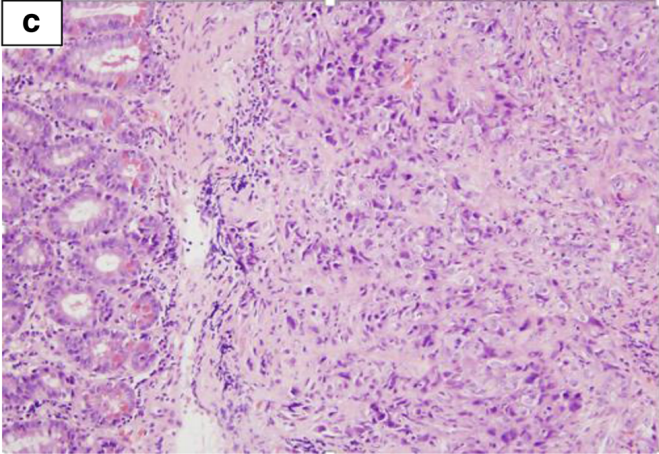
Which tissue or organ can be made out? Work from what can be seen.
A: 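Crypts lined by columnar epithelium occupy the left edge. A sheet of atypical cells lies to the right of the crypts, separated by a thin band of fibrous tissue. On this evidence: mucosa.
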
